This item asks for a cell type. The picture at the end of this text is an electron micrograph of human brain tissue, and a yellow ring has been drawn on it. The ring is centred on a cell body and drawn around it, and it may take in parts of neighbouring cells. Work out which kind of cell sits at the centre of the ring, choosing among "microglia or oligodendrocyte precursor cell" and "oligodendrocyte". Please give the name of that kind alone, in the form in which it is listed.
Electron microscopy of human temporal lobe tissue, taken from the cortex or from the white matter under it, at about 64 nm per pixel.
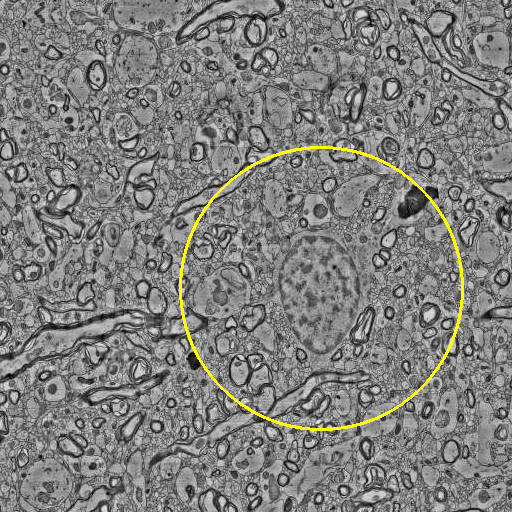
oligodendrocyte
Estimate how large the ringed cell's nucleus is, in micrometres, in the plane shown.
In this plane, roughly 7 by 5 micrometres.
